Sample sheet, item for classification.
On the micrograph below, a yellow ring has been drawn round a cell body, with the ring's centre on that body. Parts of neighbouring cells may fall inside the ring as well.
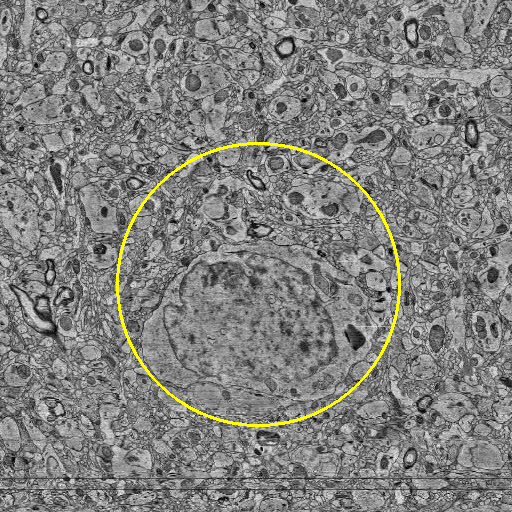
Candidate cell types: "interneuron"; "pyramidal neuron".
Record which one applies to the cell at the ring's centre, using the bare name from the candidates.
interneuron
